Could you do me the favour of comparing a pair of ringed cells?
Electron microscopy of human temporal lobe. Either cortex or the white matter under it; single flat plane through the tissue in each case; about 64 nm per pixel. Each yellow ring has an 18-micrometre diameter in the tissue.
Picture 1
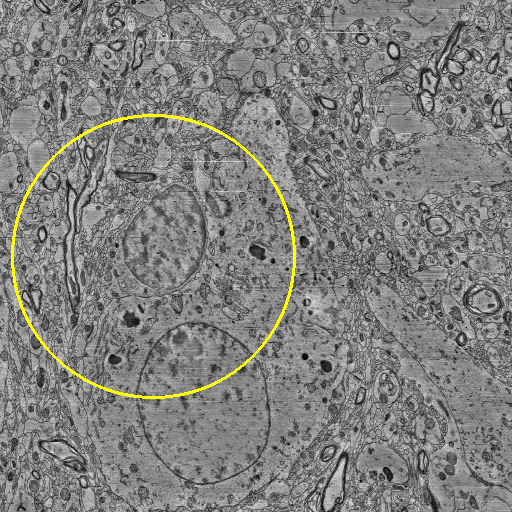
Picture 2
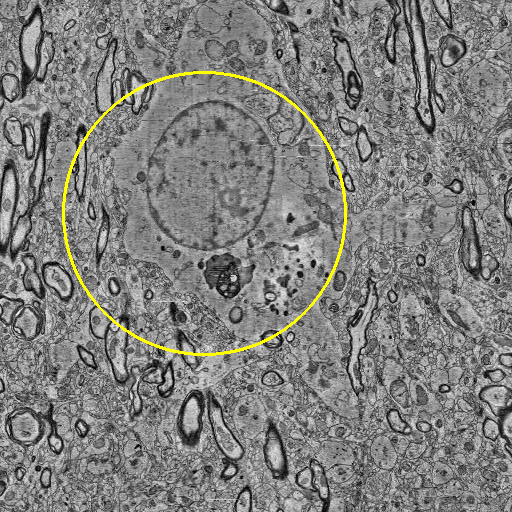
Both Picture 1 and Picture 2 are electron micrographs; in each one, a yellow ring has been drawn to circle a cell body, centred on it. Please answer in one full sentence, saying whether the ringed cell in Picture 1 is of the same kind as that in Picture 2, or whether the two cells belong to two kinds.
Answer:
The ringed cells in Picture 1 and Picture 2 belong to two kinds.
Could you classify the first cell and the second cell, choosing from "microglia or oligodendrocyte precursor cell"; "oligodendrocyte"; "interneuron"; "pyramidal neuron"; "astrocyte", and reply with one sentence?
The second cell is an astrocyte, while the first is an oligodendrocyte.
